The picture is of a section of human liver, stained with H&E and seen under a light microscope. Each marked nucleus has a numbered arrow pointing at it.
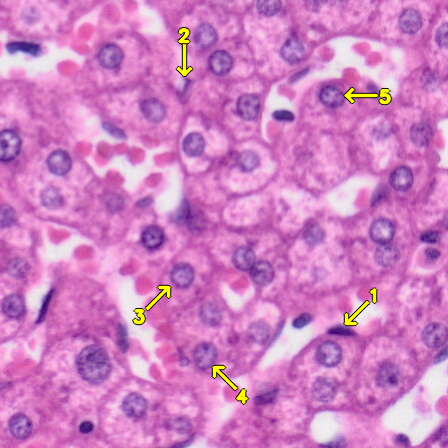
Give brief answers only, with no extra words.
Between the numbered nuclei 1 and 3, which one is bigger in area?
3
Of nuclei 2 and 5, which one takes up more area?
5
